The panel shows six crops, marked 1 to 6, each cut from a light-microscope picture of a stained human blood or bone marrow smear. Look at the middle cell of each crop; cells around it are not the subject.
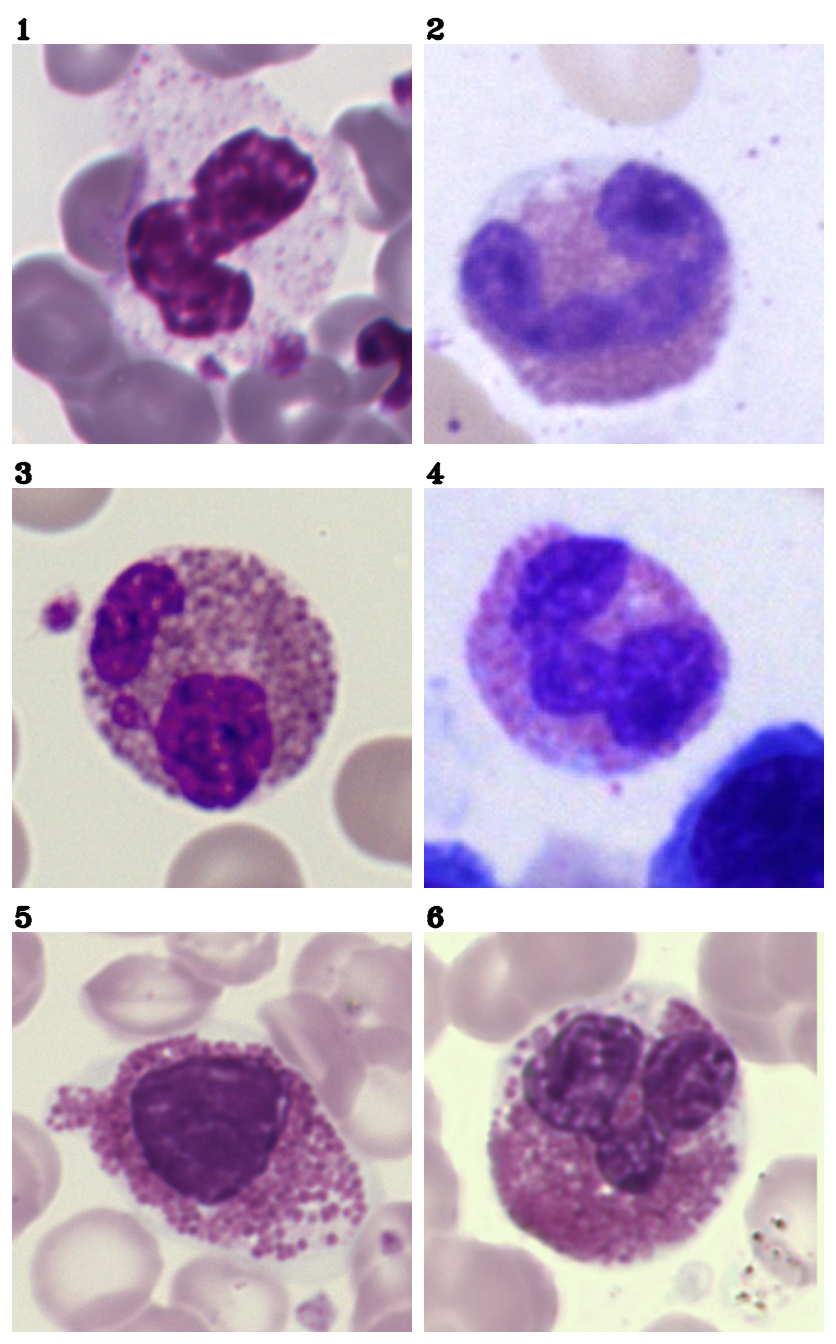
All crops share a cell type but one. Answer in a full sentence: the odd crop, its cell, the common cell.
Among these crops, eosinophils occur in all but crop 1, which contains a band neutrophil.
